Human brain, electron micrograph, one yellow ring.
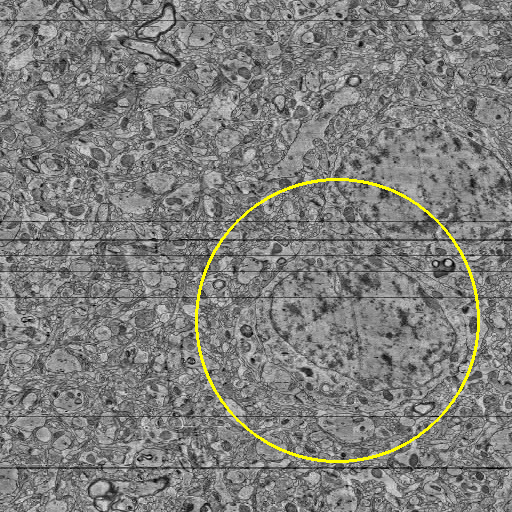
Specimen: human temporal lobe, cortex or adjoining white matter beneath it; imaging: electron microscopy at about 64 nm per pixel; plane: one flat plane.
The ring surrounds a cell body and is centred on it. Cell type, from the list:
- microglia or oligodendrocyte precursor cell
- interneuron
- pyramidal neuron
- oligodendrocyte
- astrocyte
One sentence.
The yellow ring circles an interneuron.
